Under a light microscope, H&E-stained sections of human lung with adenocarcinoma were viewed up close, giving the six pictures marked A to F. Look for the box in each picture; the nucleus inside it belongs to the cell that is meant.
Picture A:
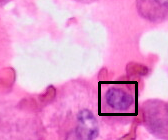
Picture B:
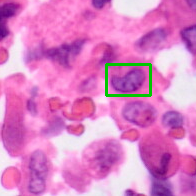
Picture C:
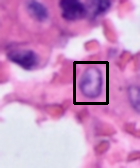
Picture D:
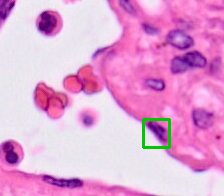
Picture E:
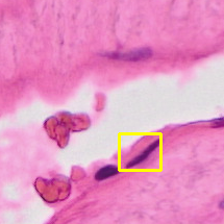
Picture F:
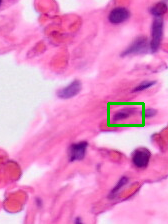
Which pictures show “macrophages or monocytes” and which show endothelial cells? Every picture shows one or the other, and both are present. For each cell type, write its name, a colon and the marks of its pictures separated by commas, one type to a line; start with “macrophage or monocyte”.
macrophage or monocyte: A, B, C
endothelial cell: D, E, F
